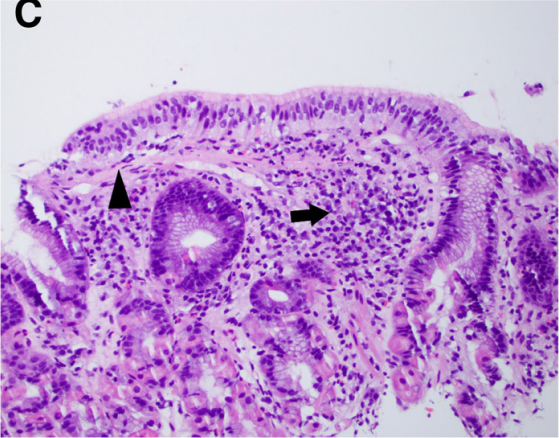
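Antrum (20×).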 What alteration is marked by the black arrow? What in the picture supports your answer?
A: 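Lymphoplasmacytic infiltrate. The arrow points to the stroma between the glands. This stroma is crowded with small cells with round dark nuclei.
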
